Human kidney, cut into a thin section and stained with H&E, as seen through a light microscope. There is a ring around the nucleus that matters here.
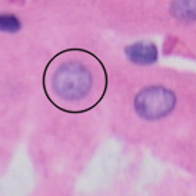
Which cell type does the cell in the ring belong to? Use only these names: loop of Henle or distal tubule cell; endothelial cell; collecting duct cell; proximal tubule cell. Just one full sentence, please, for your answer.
The classification of the cell in the ring is as a proximal tubule cell.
